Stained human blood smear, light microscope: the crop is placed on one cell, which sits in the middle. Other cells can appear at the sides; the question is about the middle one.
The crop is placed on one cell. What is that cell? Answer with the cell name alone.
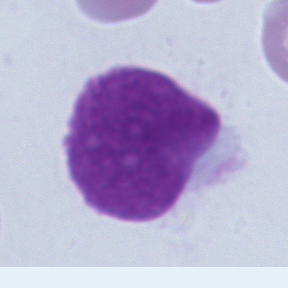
smudge cell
